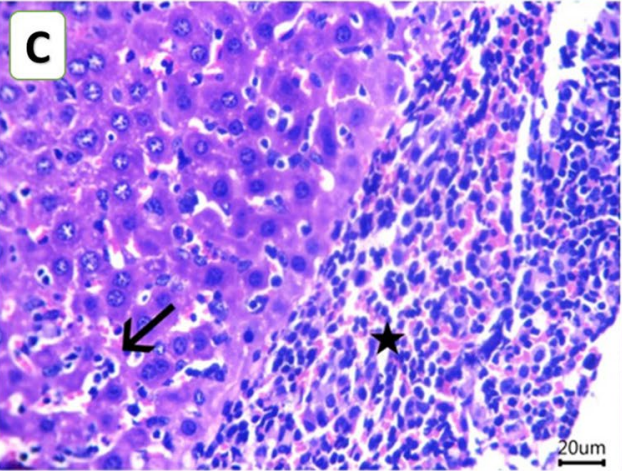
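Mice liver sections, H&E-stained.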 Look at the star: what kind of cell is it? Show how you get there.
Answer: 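A dense sheet of small round dark nuclei fills the right part. Red blood cells are scattered among them. This area lies beside the hepatocyte cords on the left. So: lymphocytes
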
